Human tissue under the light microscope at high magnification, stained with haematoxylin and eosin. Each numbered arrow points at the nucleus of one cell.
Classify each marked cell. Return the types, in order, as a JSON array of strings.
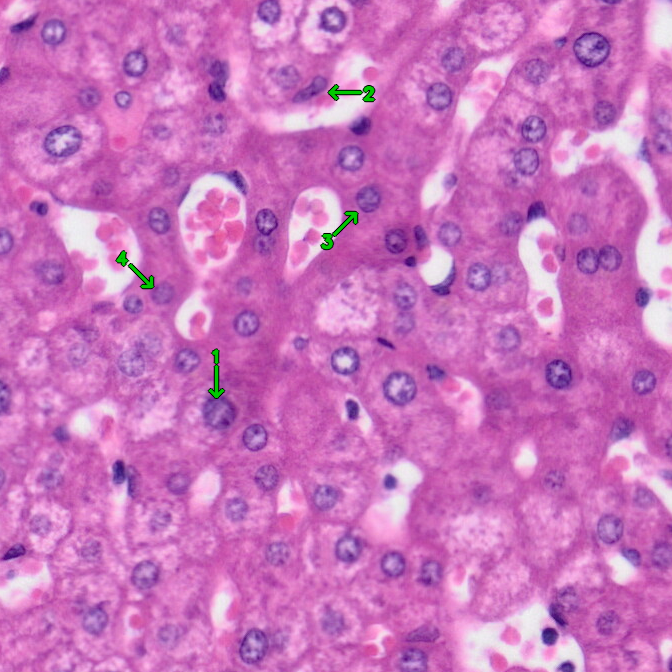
["hepatocyte", "Kupffer cell", "hepatocyte", "hepatocyte"]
